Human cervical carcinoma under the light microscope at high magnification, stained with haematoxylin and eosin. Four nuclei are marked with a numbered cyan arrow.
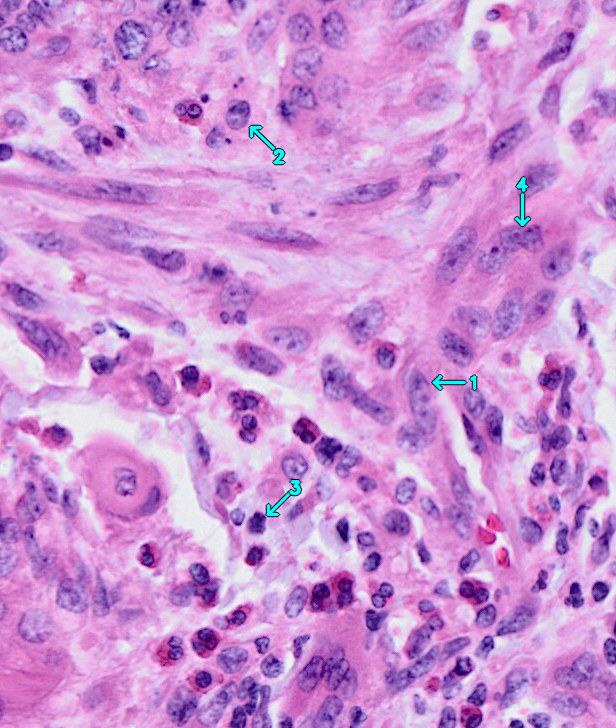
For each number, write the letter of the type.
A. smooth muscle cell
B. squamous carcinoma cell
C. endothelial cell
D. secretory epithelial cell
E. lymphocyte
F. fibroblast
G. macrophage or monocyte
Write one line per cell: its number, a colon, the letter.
1: C
2: G
3: E
4: C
